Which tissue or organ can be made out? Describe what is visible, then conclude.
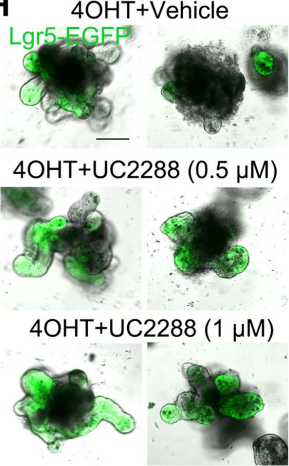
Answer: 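Rounded three-dimensional epithelial structures with a dark central body. Several bud-like outgrowths projecting from each structure. Structures lie free, not within a tissue section. That points to this answer: small intestinal organoids.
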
